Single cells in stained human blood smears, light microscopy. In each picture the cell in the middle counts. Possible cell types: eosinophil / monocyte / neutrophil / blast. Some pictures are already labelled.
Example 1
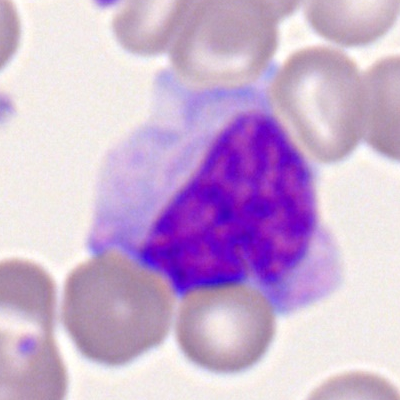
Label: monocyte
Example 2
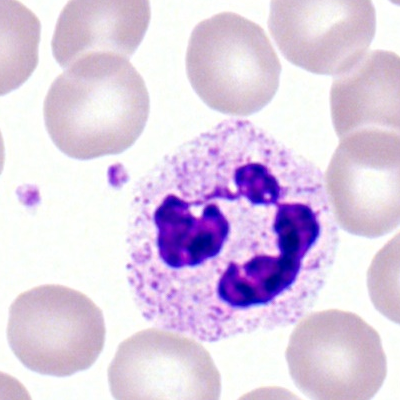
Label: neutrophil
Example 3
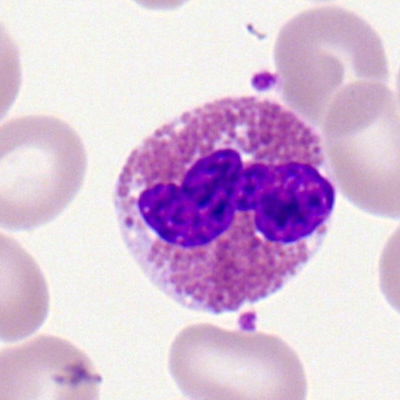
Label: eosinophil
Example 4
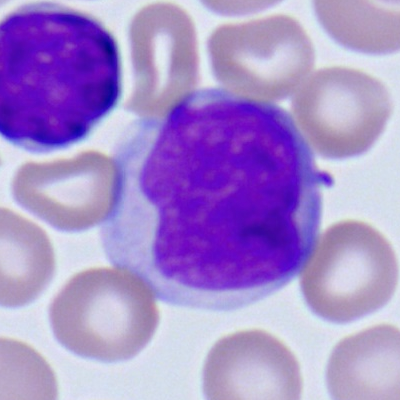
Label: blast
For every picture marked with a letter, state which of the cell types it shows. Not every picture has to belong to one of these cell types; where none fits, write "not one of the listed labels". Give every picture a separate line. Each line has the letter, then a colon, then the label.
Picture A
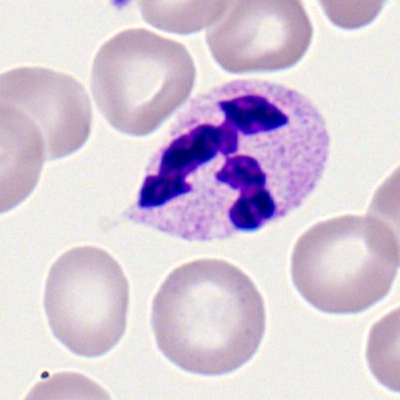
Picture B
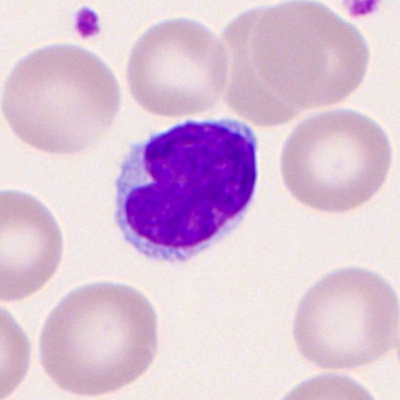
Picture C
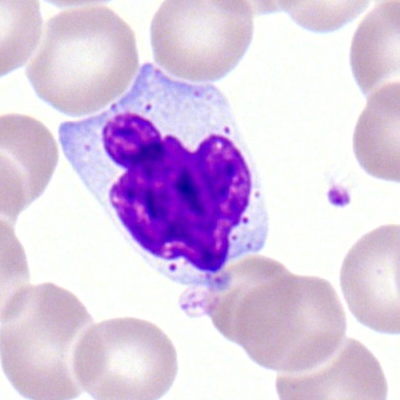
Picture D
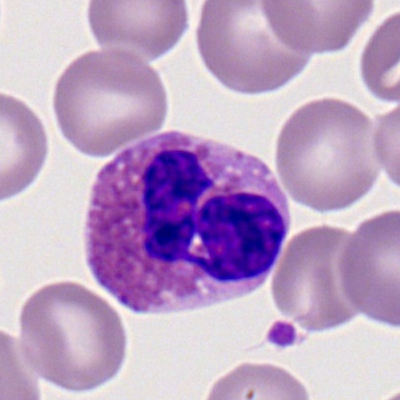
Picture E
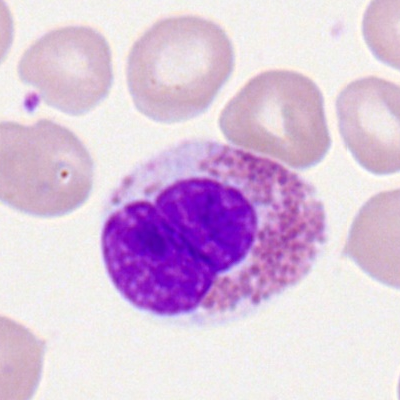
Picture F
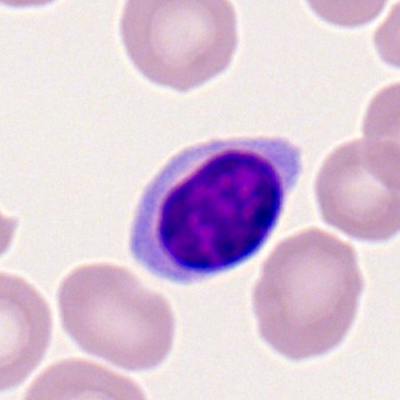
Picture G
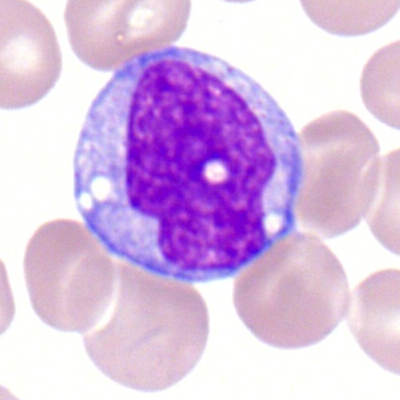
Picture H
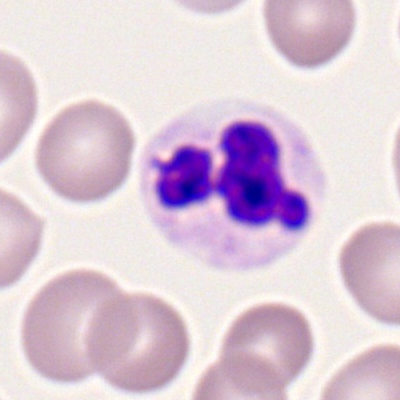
A: neutrophil
B: not one of the listed labels
C: not one of the listed labels
D: eosinophil
E: eosinophil
F: not one of the listed labels
G: monocyte
H: neutrophil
